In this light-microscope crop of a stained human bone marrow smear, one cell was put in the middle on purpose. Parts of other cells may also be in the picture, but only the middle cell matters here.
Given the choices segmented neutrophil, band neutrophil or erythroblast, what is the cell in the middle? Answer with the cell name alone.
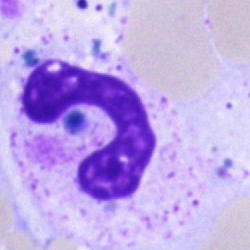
band neutrophil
